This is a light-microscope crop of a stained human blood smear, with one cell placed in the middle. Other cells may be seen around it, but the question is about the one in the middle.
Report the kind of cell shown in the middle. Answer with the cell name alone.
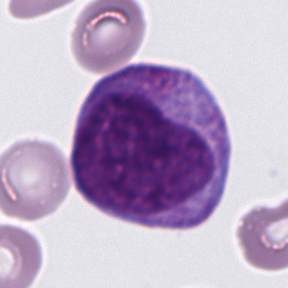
atypical promyelocyte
